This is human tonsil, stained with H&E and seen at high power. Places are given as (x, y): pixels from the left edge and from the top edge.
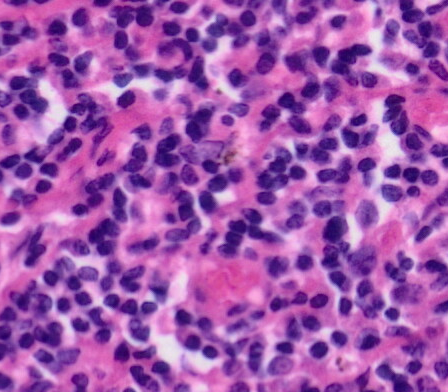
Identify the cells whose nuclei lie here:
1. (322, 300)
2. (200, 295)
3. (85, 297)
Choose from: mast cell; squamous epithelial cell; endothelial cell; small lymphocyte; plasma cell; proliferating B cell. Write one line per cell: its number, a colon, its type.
1: plasma cell
2: endothelial cell
3: small lymphocyte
